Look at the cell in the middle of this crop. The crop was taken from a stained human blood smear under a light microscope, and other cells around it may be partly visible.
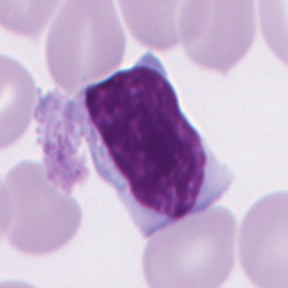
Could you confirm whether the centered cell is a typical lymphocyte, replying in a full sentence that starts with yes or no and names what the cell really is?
No, it is a large granular lymphocyte and not a typical lymphocyte that occupies the middle of the crop.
